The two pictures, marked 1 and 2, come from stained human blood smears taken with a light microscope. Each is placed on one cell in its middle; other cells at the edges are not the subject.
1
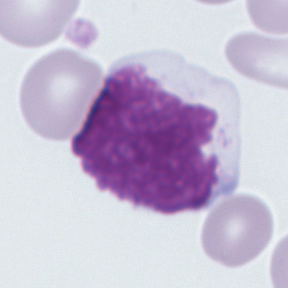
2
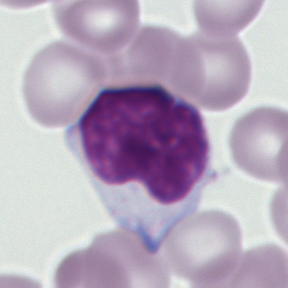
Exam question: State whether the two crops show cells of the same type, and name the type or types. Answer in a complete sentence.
Yes, in both crops the centred cells are large granular lymphocytes.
